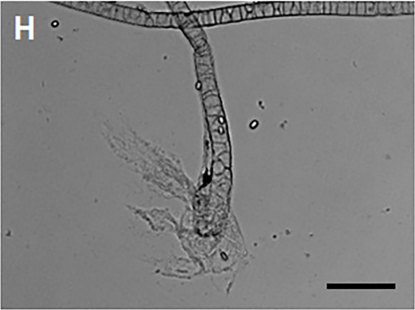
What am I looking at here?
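This is the base of a sorophore, the cellular stalk of a fruiting body. The stalk runs down from the top of the view, and its wall encloses rows of box-like, vacuolated cells that give it a ladder-like look. Toward the bottom the stalk broadens and the cells lie in more than one row. Around the widened end spreads a pale, ragged, fringed layer of material on the surface. A few small oval spores lie loose beside the stalk.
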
